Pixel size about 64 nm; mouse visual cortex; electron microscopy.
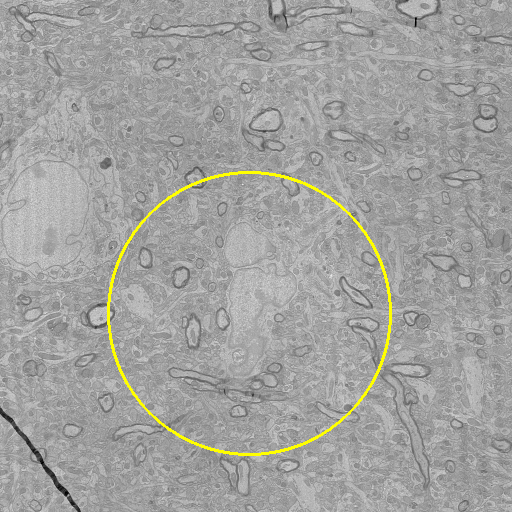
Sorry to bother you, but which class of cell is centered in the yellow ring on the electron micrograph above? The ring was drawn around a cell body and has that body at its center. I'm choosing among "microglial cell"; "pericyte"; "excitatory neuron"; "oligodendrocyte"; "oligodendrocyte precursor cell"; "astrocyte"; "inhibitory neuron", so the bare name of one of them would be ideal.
oligodendrocyte precursor cell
